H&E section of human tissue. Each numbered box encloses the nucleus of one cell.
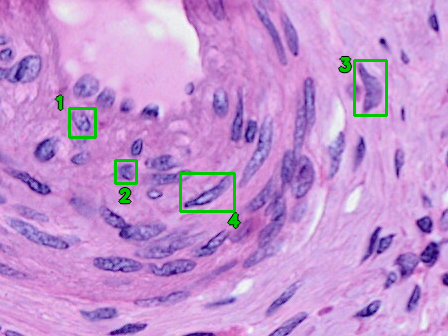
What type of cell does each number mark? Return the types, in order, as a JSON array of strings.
["smooth muscle cell", "smooth muscle cell", "fibroblast", "smooth muscle cell"]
